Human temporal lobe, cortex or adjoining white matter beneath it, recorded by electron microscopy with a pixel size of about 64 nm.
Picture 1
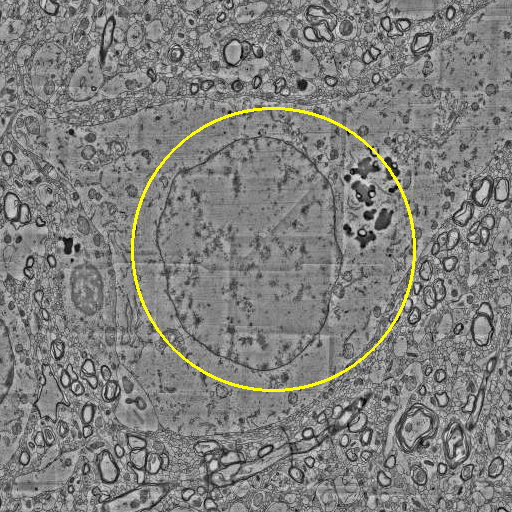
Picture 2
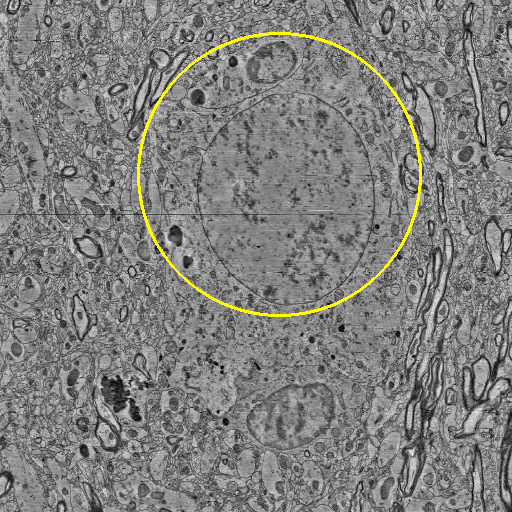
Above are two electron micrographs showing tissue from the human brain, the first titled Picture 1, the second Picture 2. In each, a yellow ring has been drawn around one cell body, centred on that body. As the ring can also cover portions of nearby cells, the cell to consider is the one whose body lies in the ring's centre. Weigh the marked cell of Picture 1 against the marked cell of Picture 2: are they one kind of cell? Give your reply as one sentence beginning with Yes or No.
Yes, the two cells sitting at the ring centres in the pictures are of one kind.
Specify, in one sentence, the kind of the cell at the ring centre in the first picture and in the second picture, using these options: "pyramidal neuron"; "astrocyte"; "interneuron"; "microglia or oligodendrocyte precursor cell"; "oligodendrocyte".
Each cell, in the first picture and the second, is a pyramidal neuron.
